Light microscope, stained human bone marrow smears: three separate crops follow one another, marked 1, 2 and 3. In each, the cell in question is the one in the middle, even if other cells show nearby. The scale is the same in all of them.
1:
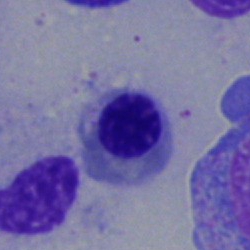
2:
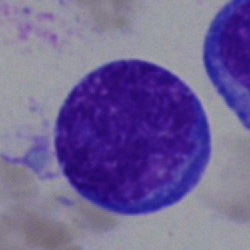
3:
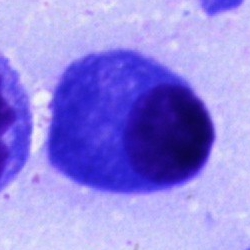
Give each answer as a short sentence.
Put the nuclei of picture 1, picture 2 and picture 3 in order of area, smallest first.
Smallest first: 1, 3, 2.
